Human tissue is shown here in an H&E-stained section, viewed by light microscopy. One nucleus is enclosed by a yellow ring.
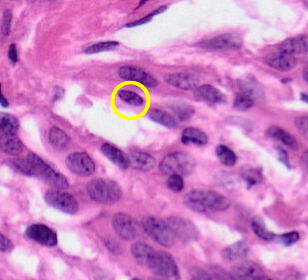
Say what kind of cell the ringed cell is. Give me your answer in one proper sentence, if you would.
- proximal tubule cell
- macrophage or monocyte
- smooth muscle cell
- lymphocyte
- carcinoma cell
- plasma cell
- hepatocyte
To be brief about it, the ringed cell is a macrophage or monocyte.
